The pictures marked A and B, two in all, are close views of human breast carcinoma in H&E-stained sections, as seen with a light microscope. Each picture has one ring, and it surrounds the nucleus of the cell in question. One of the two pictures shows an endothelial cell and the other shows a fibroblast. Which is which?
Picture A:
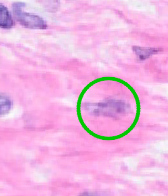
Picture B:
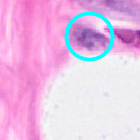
A: fibroblast
B: endothelial cell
